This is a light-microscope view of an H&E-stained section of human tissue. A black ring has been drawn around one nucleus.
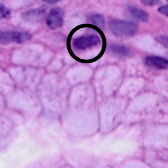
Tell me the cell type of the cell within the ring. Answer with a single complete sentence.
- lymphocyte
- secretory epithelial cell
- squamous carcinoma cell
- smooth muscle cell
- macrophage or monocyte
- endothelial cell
The cell within the ring is a secretory epithelial cell.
